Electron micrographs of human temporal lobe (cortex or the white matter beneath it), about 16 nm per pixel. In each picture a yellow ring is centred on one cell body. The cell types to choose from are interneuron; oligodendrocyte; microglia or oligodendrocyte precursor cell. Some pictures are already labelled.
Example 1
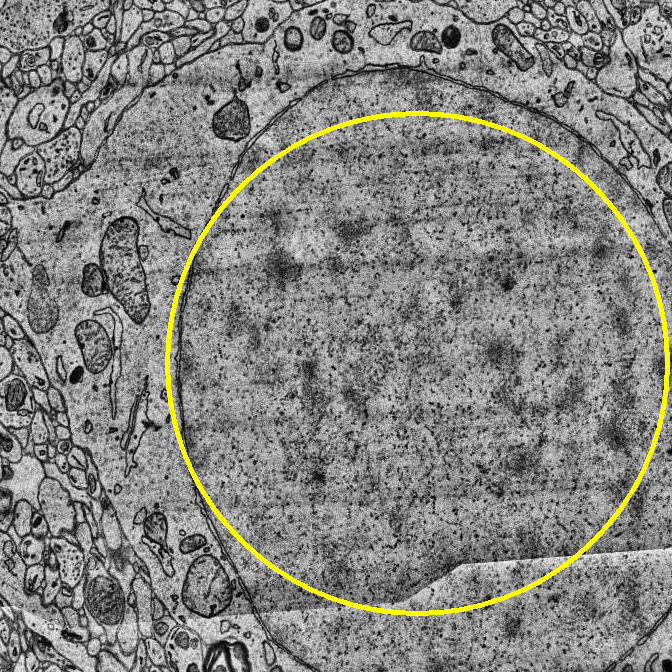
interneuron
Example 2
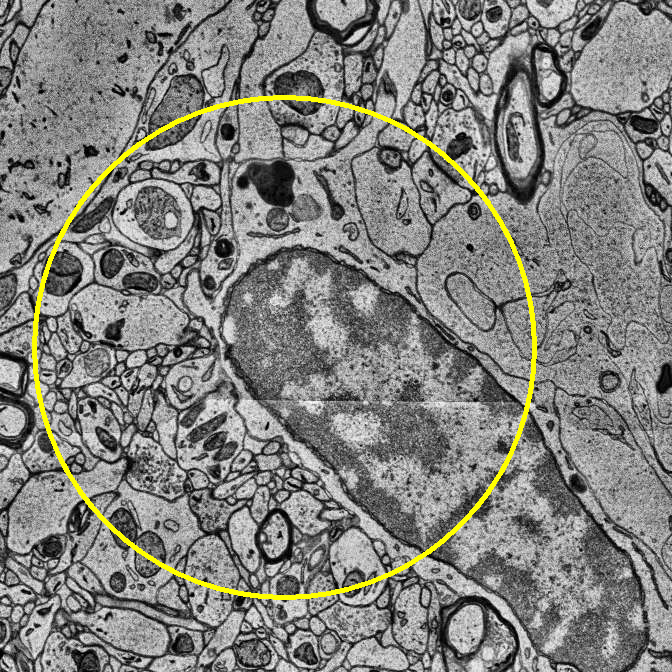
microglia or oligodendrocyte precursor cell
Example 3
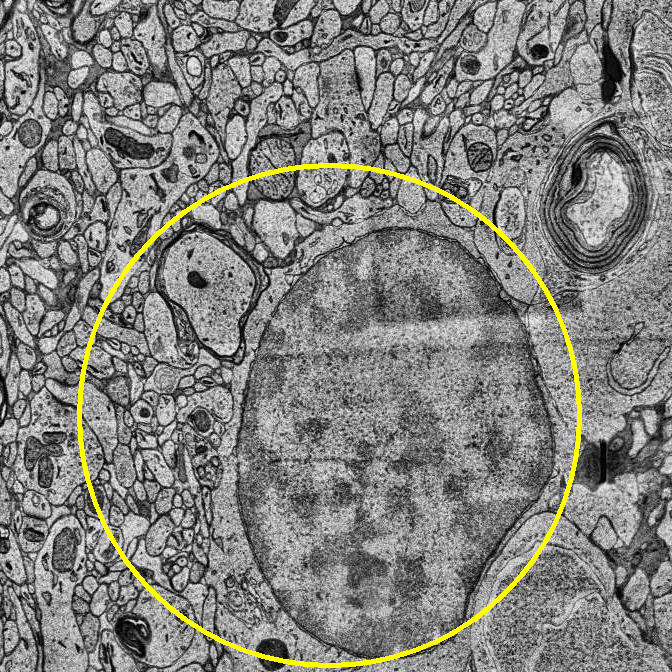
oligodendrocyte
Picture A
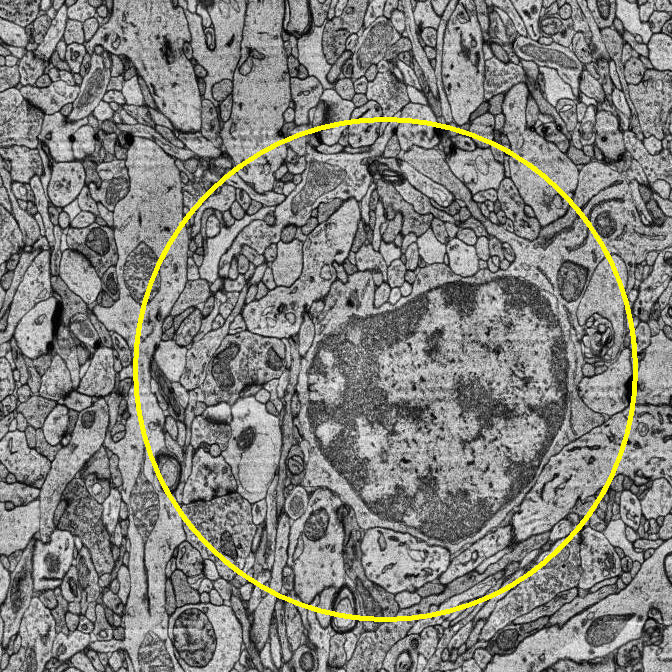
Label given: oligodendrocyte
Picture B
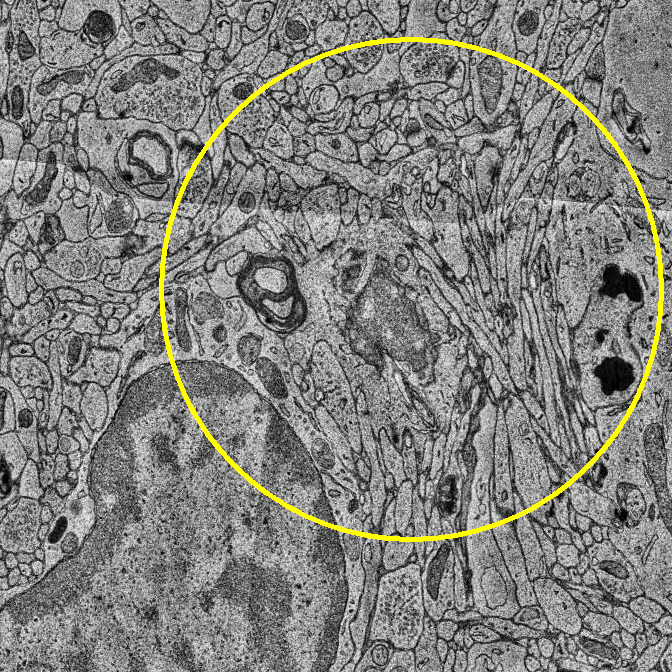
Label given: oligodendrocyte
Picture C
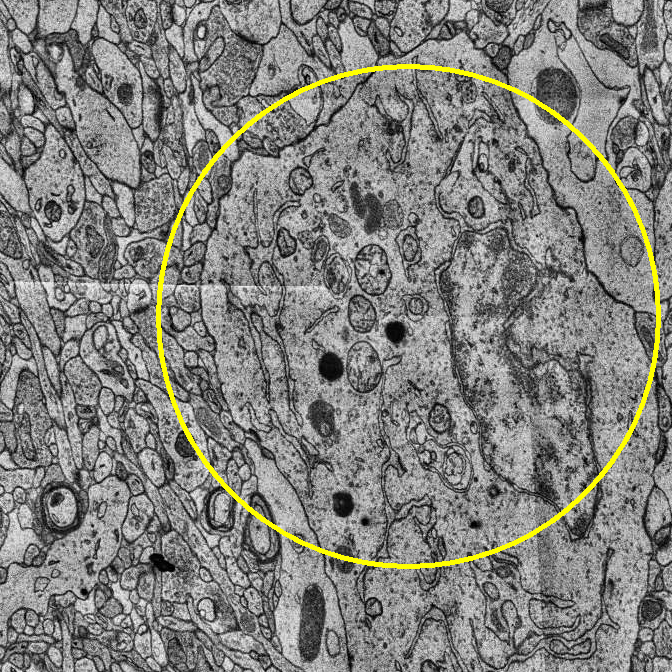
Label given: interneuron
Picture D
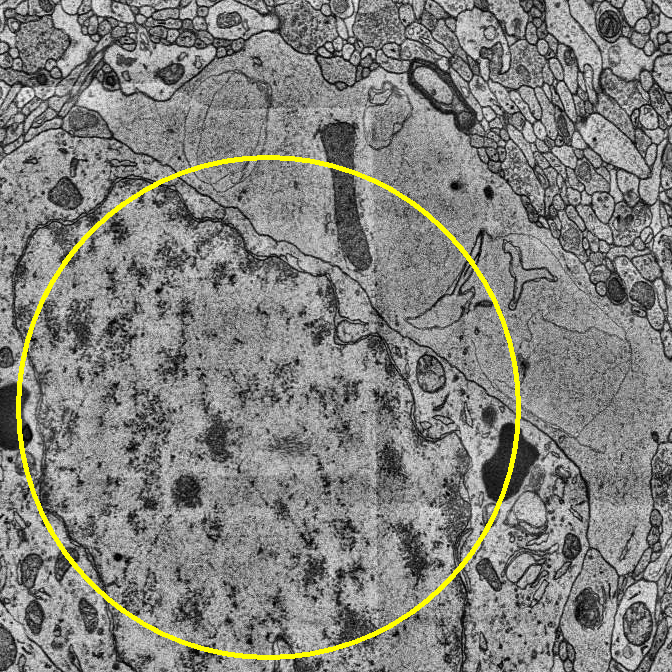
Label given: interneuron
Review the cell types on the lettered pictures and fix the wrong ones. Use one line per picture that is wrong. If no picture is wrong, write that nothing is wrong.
A: change oligodendrocyte to microglia or oligodendrocyte precursor cell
